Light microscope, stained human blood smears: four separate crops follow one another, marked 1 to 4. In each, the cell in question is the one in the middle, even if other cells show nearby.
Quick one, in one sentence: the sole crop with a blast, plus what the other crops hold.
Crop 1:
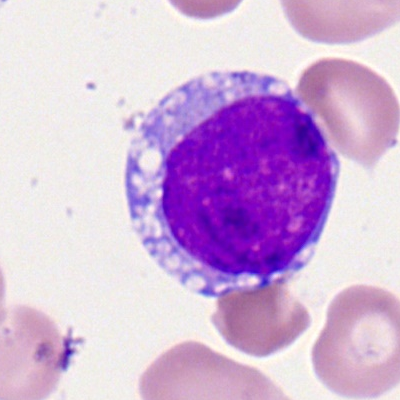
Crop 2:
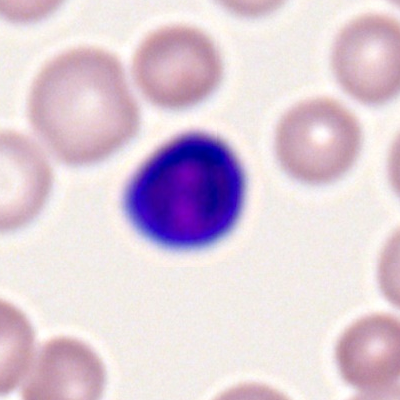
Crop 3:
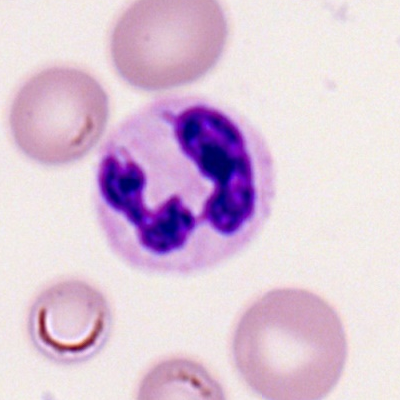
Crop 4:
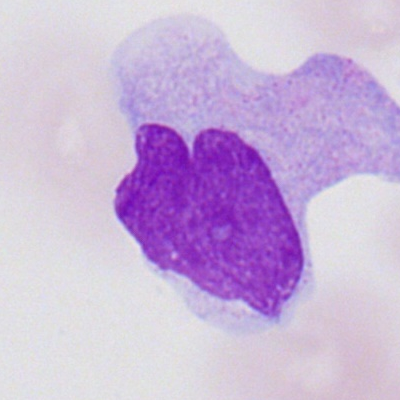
The middle of crop 1 holds a blast, while crop 2 is a lymphocyte, crop 3 is a neutrophil and crop 4 is a monocyte.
